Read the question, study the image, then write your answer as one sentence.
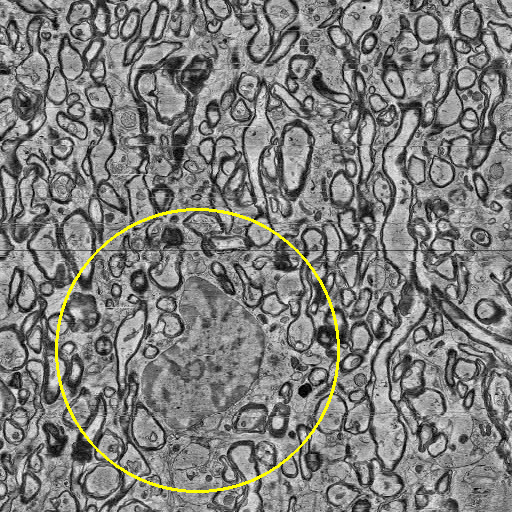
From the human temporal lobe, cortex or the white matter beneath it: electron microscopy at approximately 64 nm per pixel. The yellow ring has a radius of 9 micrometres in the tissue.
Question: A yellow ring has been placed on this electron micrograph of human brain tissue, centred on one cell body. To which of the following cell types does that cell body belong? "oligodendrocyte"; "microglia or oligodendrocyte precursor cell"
That cell body belongs to a microglial cell or oligodendrocyte precursor cell.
